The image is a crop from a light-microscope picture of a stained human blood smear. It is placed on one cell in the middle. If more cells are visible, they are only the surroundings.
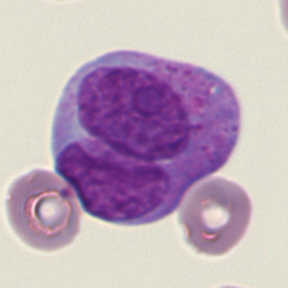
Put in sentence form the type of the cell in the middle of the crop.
The cell centred in this crop is categorized as an atypical promyelocyte.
